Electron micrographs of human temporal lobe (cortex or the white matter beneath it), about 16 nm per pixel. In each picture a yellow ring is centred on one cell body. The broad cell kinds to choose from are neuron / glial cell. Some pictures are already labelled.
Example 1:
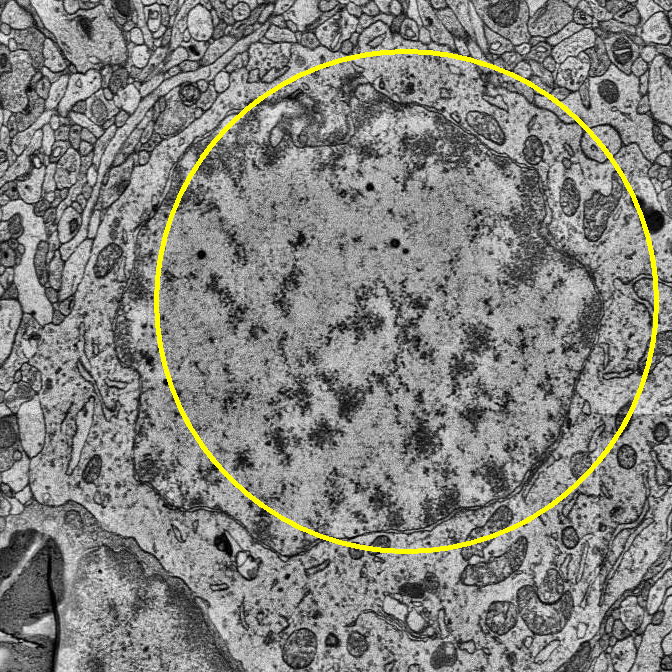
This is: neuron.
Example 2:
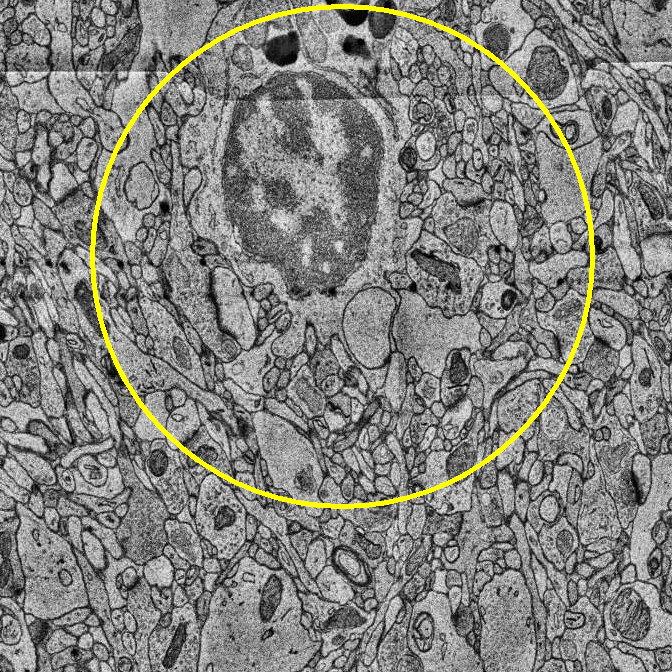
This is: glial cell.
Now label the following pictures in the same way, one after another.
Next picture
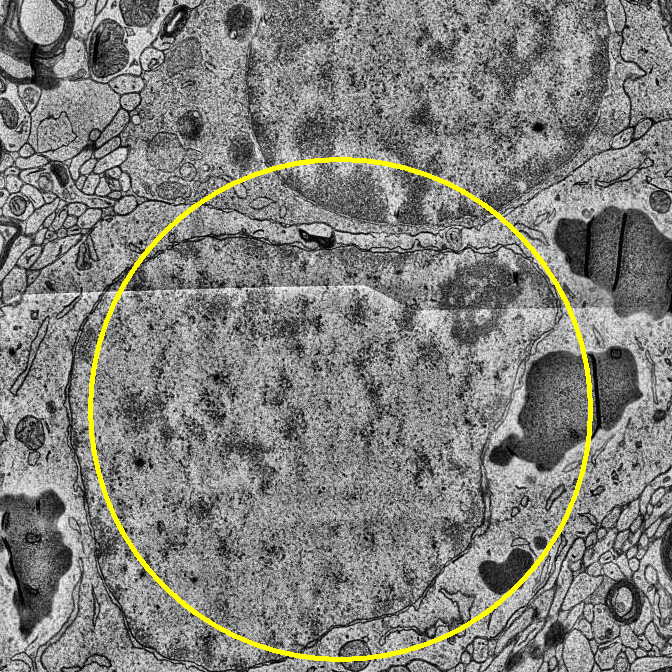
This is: neuron.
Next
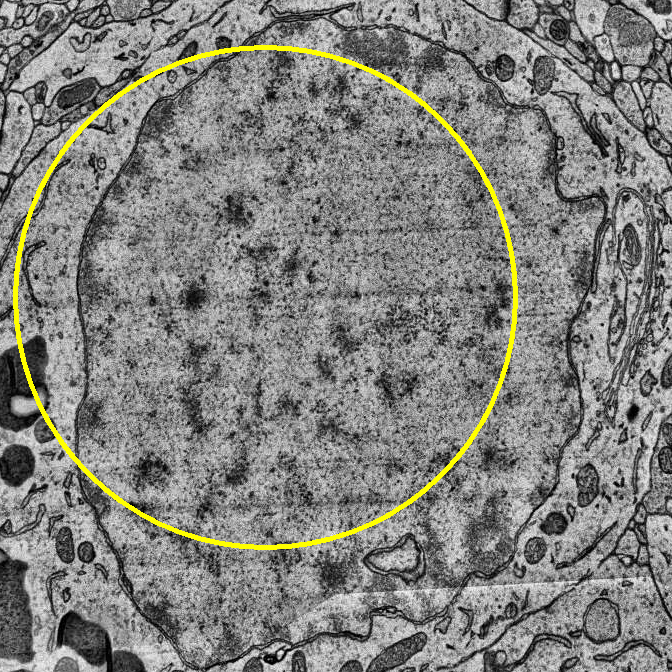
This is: neuron.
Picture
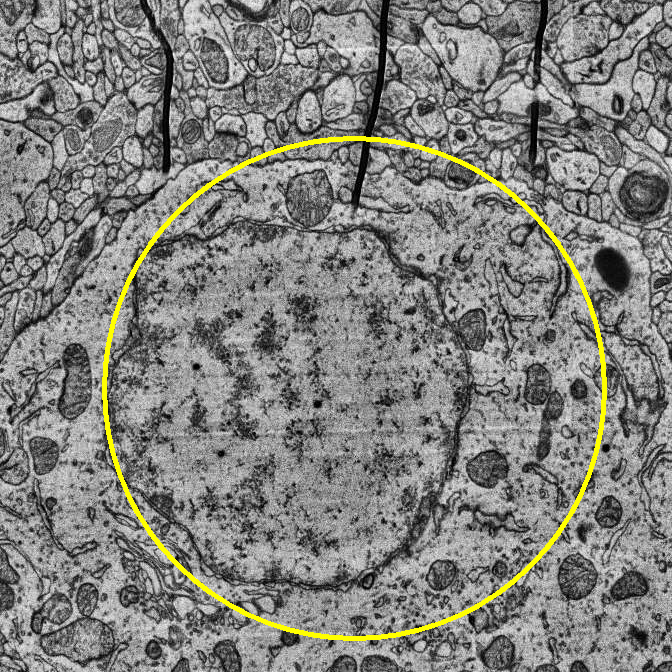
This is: neuron.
